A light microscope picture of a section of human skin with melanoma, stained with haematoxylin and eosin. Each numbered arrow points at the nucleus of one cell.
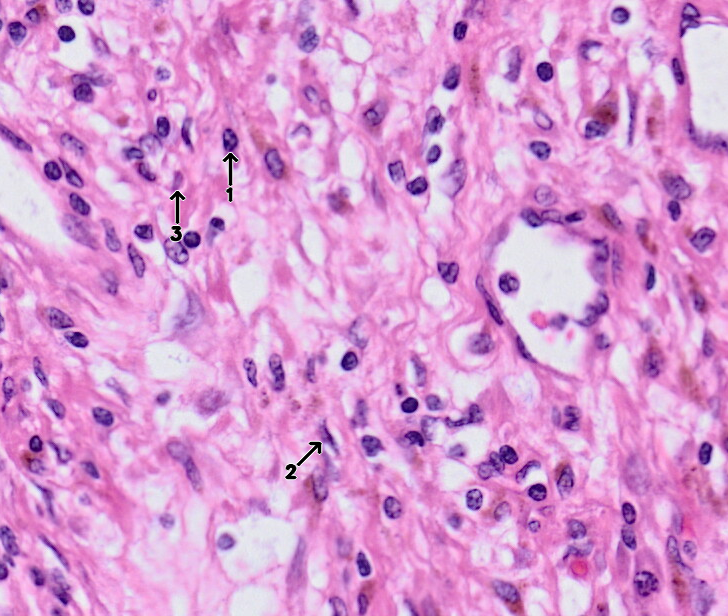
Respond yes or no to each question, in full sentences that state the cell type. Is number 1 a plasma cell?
Yes, the cell distinguished by number 1 is a plasma cell.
